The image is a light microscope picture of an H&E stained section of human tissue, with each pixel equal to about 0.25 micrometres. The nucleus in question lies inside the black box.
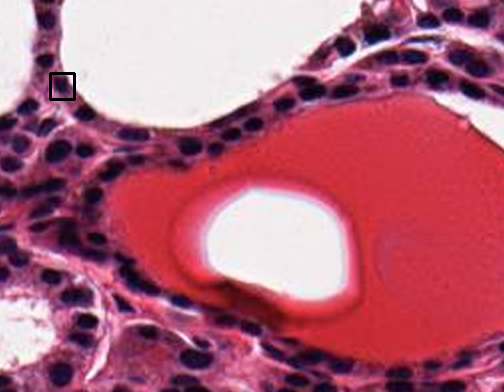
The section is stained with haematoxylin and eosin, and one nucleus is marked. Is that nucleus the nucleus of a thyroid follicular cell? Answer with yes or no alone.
yes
